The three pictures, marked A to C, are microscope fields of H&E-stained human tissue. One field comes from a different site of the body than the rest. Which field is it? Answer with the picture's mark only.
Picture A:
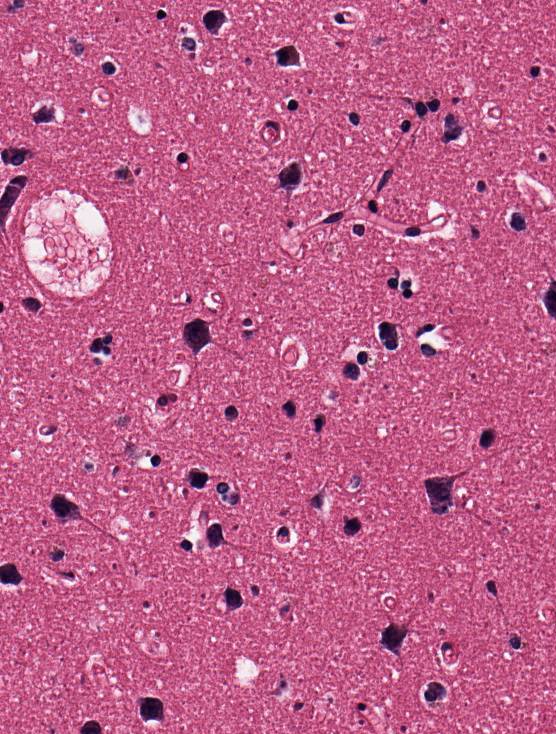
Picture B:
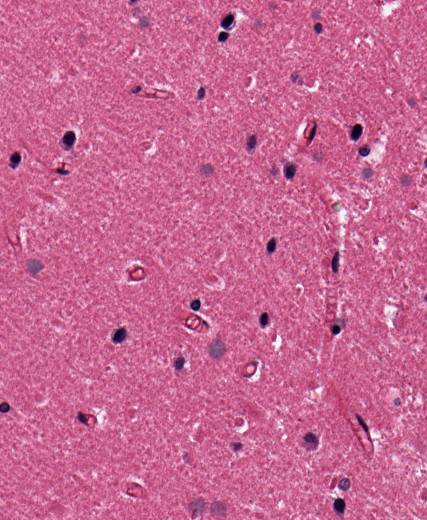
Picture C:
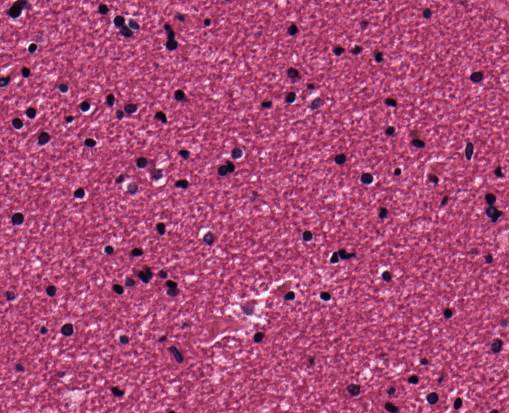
B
